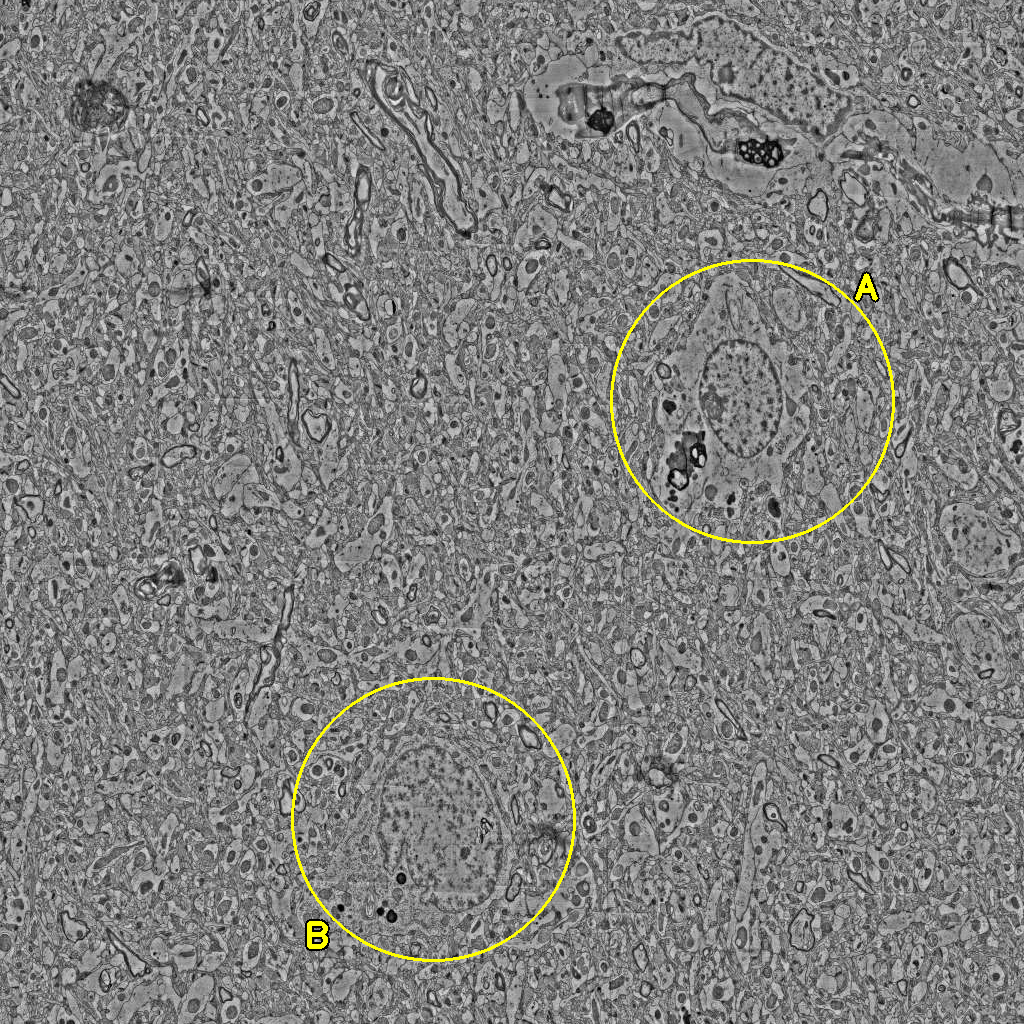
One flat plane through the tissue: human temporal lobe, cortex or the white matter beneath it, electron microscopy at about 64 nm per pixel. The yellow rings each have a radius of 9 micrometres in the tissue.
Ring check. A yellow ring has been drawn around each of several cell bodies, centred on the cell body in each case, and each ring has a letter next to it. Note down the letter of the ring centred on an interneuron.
B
